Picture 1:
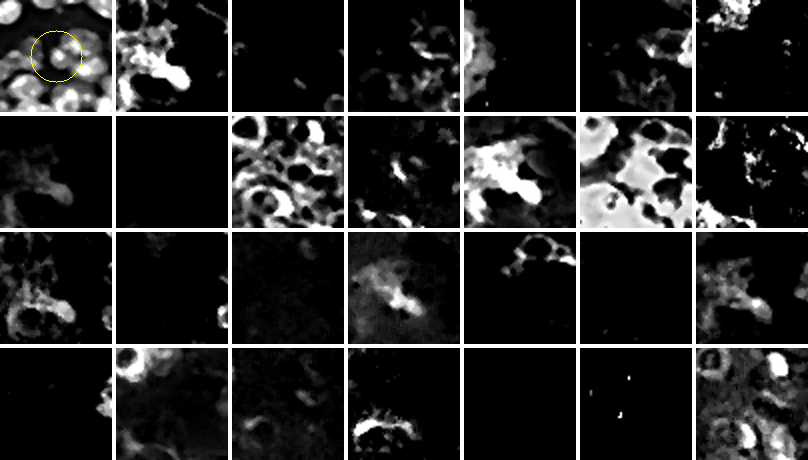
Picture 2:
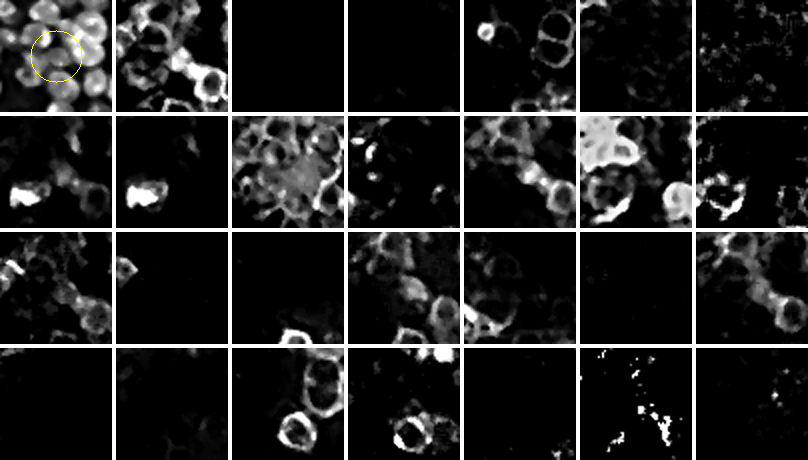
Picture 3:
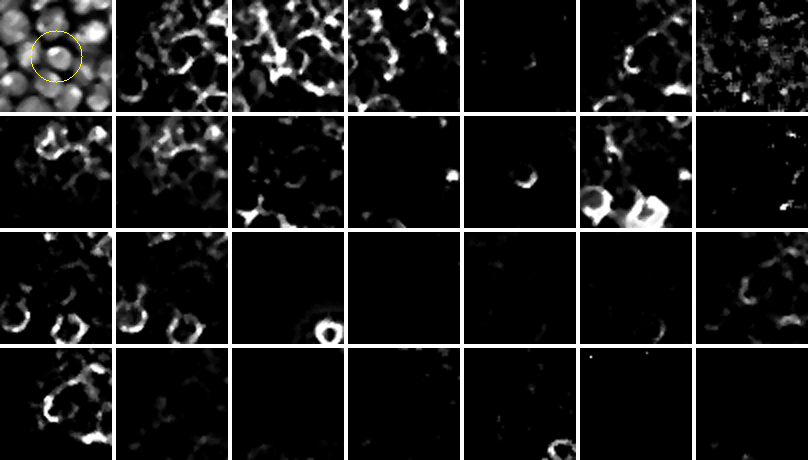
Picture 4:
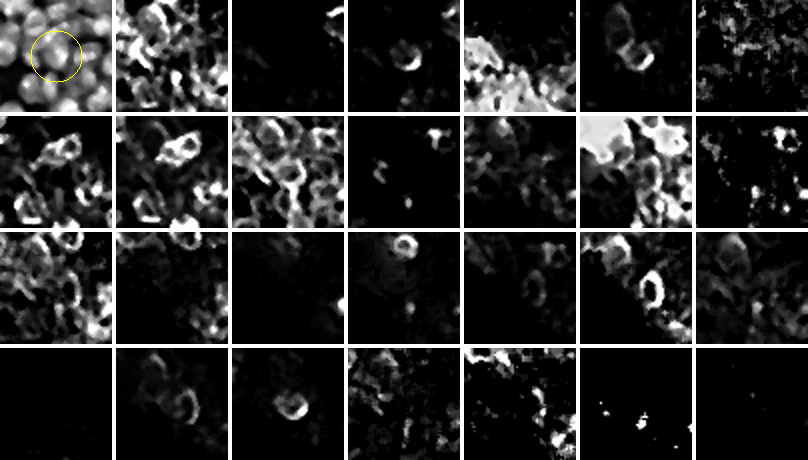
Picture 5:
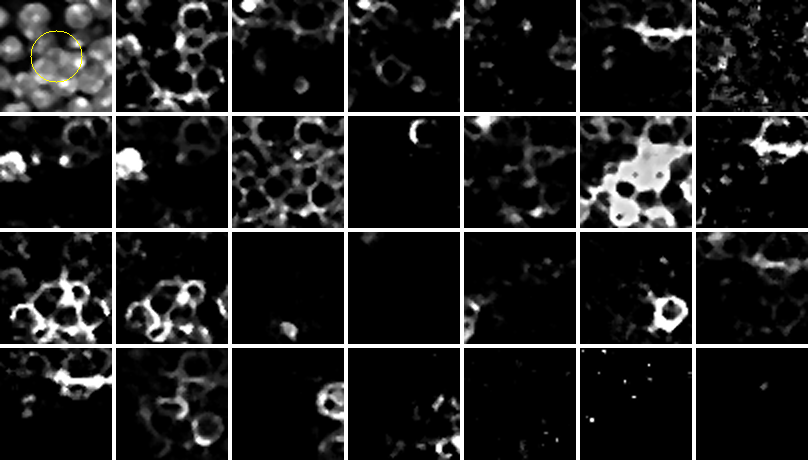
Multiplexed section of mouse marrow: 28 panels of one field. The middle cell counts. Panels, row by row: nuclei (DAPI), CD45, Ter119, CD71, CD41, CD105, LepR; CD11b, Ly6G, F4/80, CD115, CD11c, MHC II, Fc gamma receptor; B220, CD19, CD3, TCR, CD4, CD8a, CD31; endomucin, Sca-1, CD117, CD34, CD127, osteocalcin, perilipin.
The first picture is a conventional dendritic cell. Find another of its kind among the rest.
Picture 2.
